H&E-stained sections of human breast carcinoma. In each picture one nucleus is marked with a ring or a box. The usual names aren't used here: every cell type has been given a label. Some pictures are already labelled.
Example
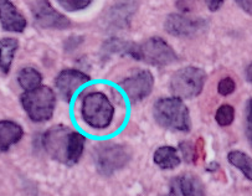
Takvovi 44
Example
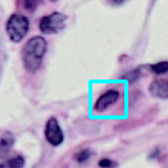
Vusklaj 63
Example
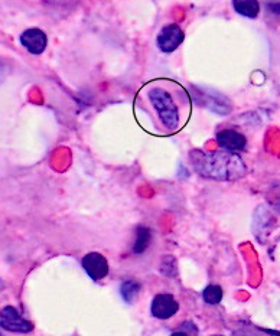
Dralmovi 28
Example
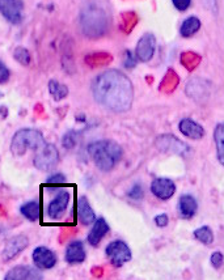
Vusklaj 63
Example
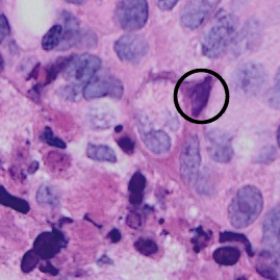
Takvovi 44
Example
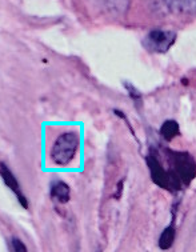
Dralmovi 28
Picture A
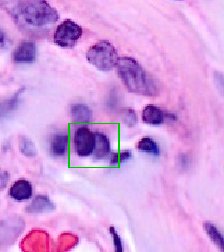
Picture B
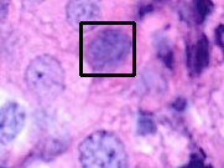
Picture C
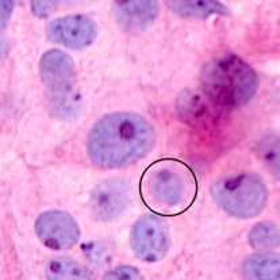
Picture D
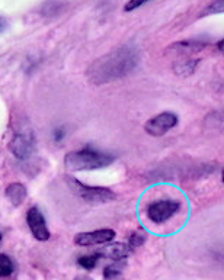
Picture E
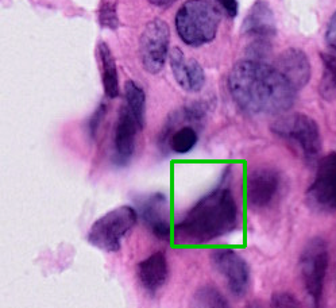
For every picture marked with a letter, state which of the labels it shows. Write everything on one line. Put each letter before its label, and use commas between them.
A Vusklaj 63, B Takvovi 44, C Takvovi 44, D Vusklaj 63, E Takvovi 44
